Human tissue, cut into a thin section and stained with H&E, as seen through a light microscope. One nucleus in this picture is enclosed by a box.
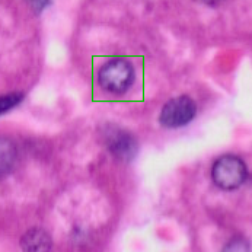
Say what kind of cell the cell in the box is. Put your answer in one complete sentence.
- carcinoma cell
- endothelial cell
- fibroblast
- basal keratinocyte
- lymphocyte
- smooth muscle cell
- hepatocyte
Histopathologically, the cell in the box is a hepatocyte.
